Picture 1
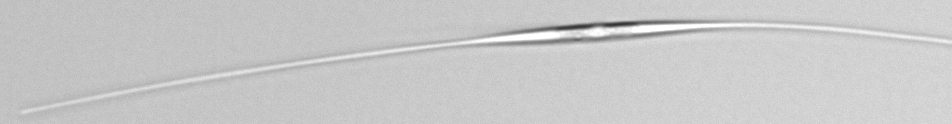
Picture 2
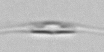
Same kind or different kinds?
Same: Cylindrotheca.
